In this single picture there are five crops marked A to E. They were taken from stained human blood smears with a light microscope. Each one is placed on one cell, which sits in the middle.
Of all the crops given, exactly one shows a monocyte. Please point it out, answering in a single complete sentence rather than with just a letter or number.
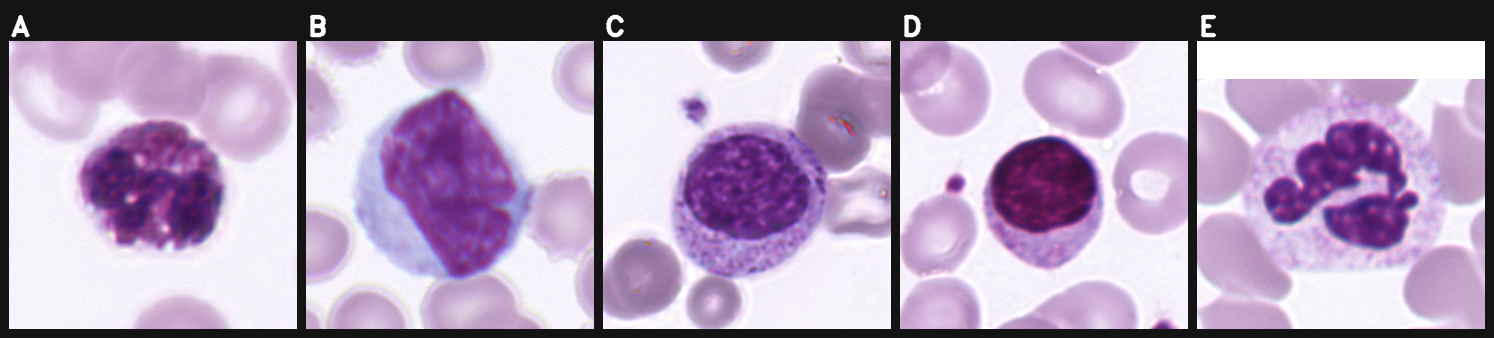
Crop B is the crop that shows a monocyte in its middle.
